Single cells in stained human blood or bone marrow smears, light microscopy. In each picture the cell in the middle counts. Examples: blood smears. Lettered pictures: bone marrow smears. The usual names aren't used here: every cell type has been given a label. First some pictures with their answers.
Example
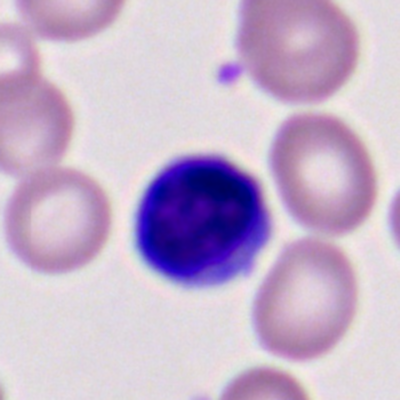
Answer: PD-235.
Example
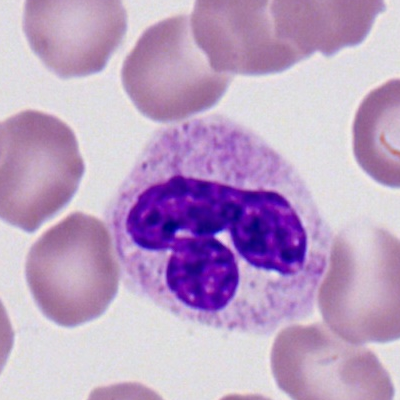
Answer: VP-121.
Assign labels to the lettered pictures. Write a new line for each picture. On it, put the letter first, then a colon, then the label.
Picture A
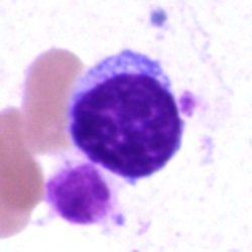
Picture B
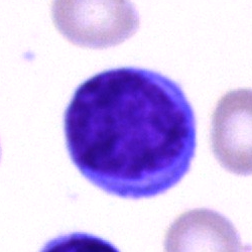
A: PD-235.
B: PD-235.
